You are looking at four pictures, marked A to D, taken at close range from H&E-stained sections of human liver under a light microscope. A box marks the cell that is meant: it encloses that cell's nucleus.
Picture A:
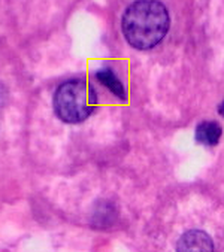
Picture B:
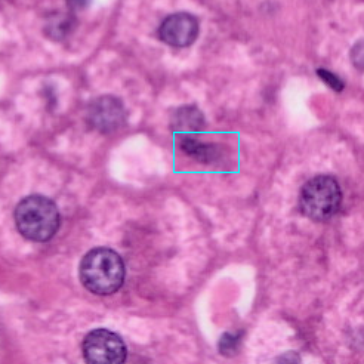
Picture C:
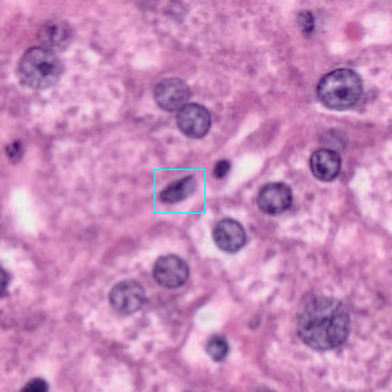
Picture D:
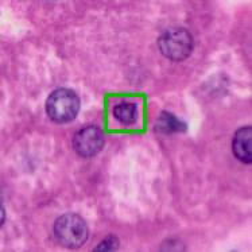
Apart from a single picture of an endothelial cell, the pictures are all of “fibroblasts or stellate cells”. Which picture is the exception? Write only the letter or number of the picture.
C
